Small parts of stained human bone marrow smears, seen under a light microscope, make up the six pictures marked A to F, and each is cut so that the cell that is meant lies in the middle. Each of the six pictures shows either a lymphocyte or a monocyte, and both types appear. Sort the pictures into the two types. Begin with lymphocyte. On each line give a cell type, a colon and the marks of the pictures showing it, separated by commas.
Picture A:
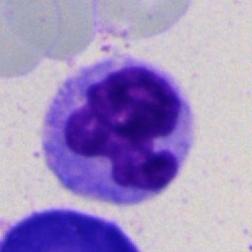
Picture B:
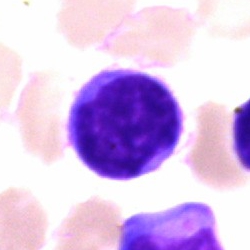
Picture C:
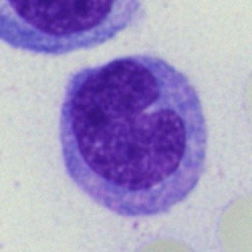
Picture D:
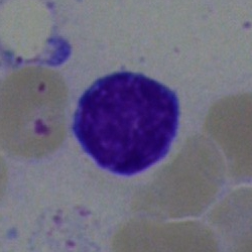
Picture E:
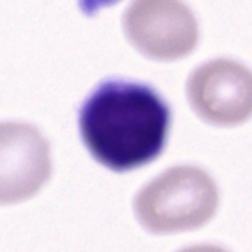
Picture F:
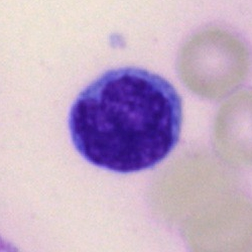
lymphocyte: B, D, E, F
monocyte: A, C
